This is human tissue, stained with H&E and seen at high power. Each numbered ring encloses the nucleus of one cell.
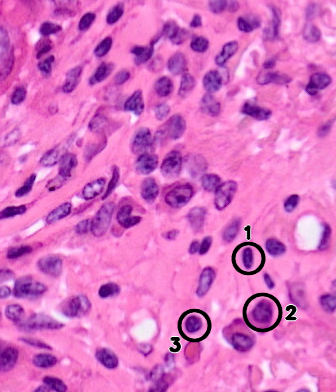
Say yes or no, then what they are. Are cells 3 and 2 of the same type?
No, cell 3 is a lymphocyte and cell 2 is a plasma cell.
